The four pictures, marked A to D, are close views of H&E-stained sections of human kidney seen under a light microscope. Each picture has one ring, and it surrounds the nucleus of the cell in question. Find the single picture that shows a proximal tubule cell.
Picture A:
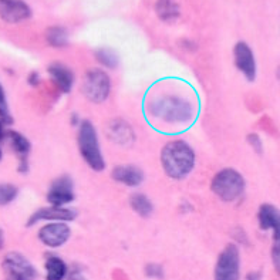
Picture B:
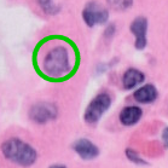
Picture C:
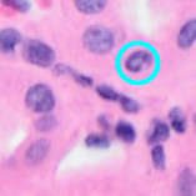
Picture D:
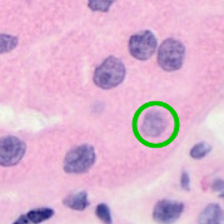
D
